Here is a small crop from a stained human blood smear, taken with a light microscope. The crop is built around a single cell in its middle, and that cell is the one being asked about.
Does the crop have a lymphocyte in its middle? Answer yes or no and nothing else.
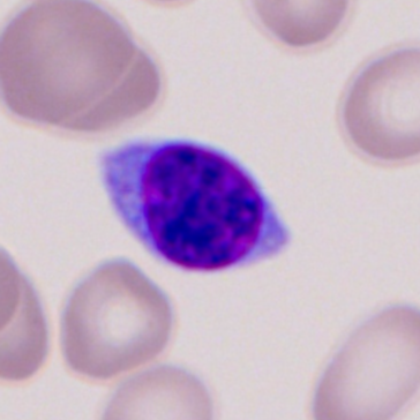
yes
